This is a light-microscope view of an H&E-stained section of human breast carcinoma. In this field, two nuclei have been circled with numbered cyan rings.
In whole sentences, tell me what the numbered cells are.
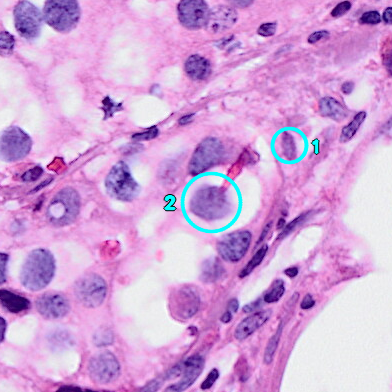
Cell 1 is a fibroblast. Cell 2 is a carcinoma cell.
